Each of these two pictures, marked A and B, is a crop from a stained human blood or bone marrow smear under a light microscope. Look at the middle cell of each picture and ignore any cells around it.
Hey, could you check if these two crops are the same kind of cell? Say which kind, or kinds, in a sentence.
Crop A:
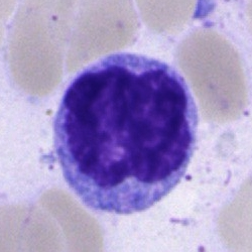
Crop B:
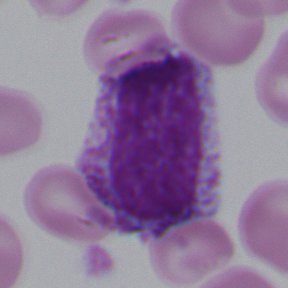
No, the cell of interest in crop A is a monocyte, and in crop B it is a myelocyte.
